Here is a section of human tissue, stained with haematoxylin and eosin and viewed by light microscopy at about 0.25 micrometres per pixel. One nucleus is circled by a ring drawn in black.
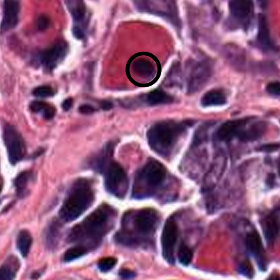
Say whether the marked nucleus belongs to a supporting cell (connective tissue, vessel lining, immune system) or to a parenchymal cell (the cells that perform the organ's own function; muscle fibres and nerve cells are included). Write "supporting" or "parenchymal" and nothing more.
parenchymal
